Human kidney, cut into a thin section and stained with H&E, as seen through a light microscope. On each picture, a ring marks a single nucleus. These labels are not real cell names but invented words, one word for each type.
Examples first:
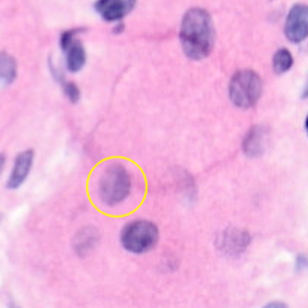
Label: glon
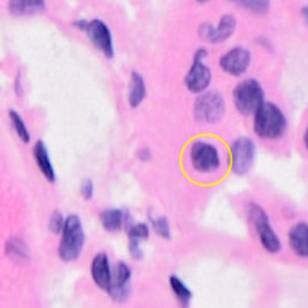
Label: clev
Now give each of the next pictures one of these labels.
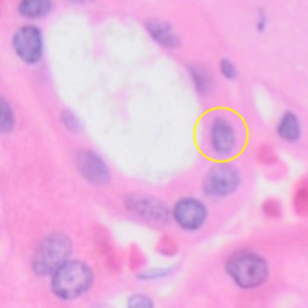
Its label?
clev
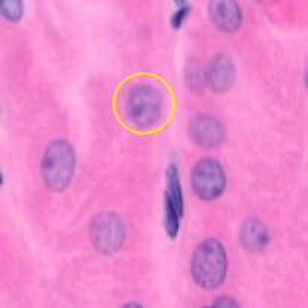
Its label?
glon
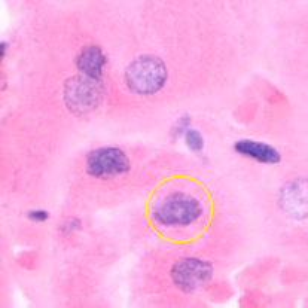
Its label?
glon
